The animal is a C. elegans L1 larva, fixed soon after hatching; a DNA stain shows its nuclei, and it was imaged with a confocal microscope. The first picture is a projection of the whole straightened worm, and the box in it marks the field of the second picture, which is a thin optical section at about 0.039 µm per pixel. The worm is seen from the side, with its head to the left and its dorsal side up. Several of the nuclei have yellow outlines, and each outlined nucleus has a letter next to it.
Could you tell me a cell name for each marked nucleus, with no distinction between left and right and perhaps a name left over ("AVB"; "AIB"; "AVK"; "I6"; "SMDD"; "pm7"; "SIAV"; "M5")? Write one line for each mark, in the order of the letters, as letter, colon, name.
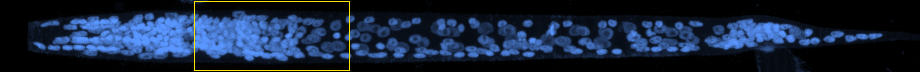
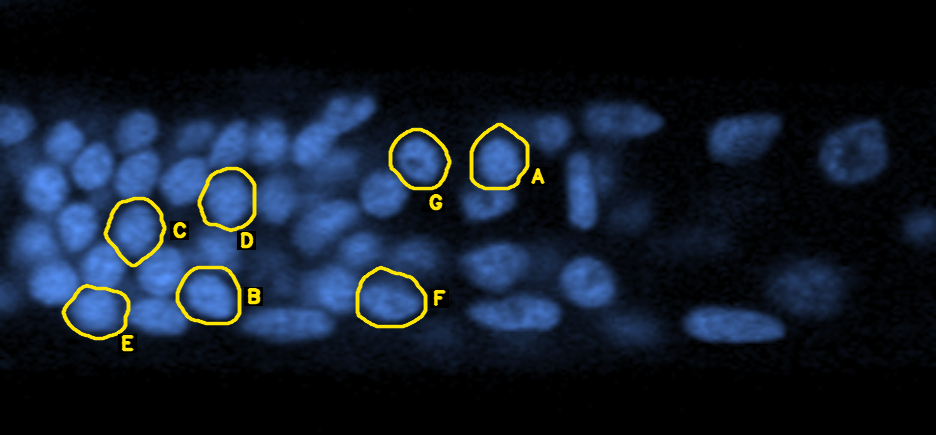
A: M5
B: SIAV
C: AIB
D: AVB
E: SMDD
F: AVK
G: I6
